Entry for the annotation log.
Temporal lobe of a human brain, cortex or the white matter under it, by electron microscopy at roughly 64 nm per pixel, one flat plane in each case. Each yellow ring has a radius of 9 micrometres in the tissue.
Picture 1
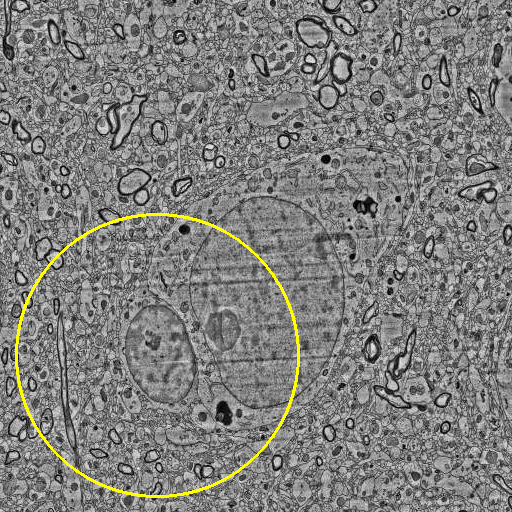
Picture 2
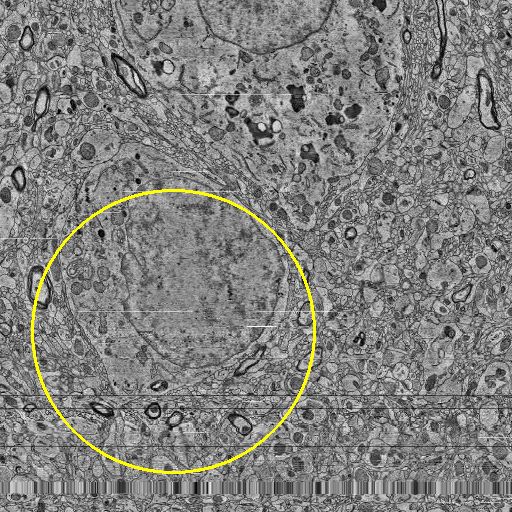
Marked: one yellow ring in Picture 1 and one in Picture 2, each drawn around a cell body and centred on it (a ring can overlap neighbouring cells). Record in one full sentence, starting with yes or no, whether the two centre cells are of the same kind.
No, the two cells are of two kinds.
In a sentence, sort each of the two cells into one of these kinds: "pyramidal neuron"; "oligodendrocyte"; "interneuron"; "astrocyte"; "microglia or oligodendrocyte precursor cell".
The first of the two cells is an oligodendrocyte, and the second is an interneuron.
